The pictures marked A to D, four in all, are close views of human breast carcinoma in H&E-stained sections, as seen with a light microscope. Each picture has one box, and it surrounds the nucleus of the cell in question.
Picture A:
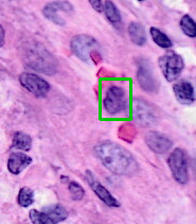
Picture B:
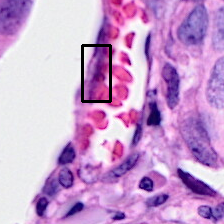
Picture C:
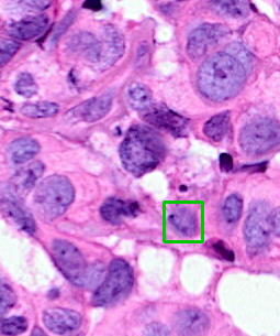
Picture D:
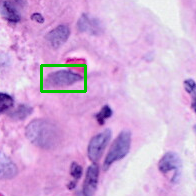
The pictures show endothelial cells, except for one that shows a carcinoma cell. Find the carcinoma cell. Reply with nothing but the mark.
C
